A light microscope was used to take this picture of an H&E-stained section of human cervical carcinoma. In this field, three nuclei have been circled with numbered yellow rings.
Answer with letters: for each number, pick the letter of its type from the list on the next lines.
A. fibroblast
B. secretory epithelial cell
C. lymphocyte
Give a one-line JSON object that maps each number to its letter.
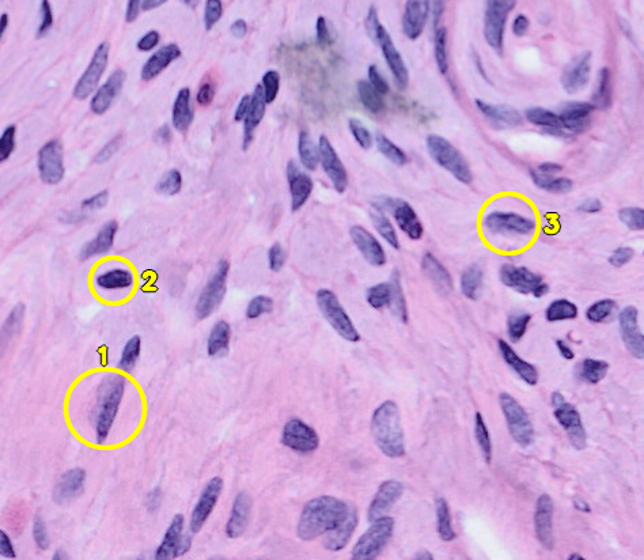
{"1": "A", "2": "C", "3": "A"}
